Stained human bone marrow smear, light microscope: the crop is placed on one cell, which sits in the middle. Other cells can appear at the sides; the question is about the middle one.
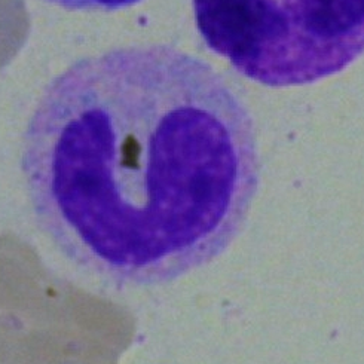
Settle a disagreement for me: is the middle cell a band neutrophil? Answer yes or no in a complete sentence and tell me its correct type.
Yes, the cell here in the middle is a band neutrophil.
